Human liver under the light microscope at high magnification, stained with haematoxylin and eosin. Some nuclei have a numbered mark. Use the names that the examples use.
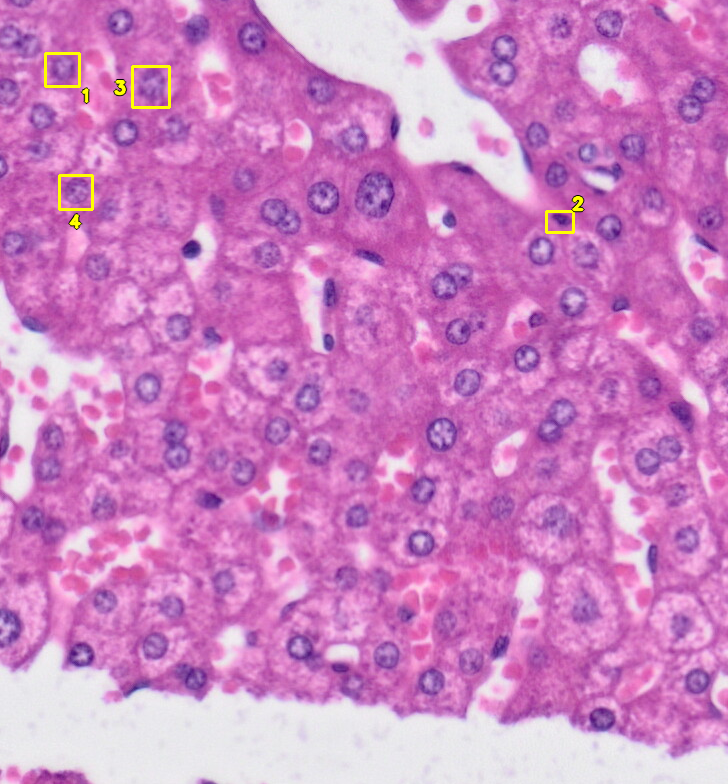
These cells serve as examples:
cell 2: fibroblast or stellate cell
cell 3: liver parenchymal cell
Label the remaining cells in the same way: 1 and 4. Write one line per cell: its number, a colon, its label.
1: liver parenchymal cell
4: liver parenchymal cell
